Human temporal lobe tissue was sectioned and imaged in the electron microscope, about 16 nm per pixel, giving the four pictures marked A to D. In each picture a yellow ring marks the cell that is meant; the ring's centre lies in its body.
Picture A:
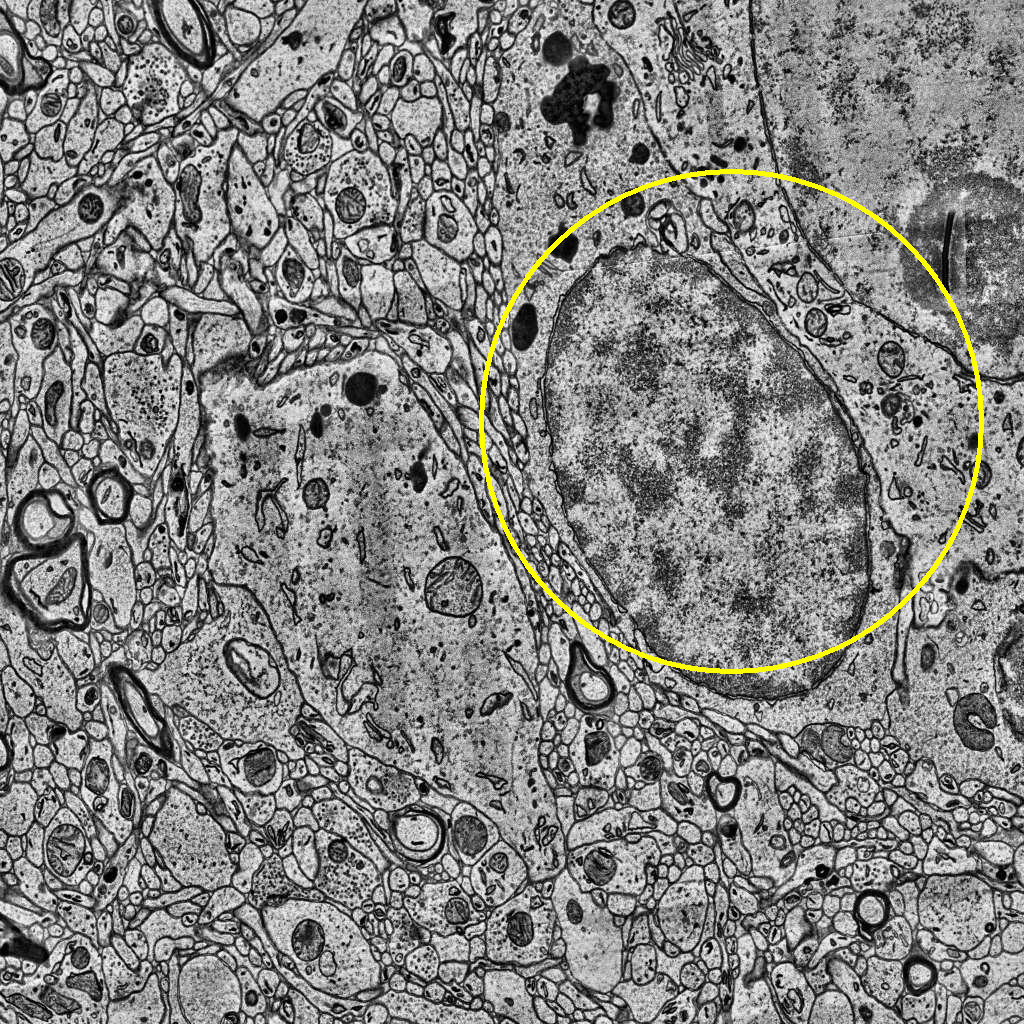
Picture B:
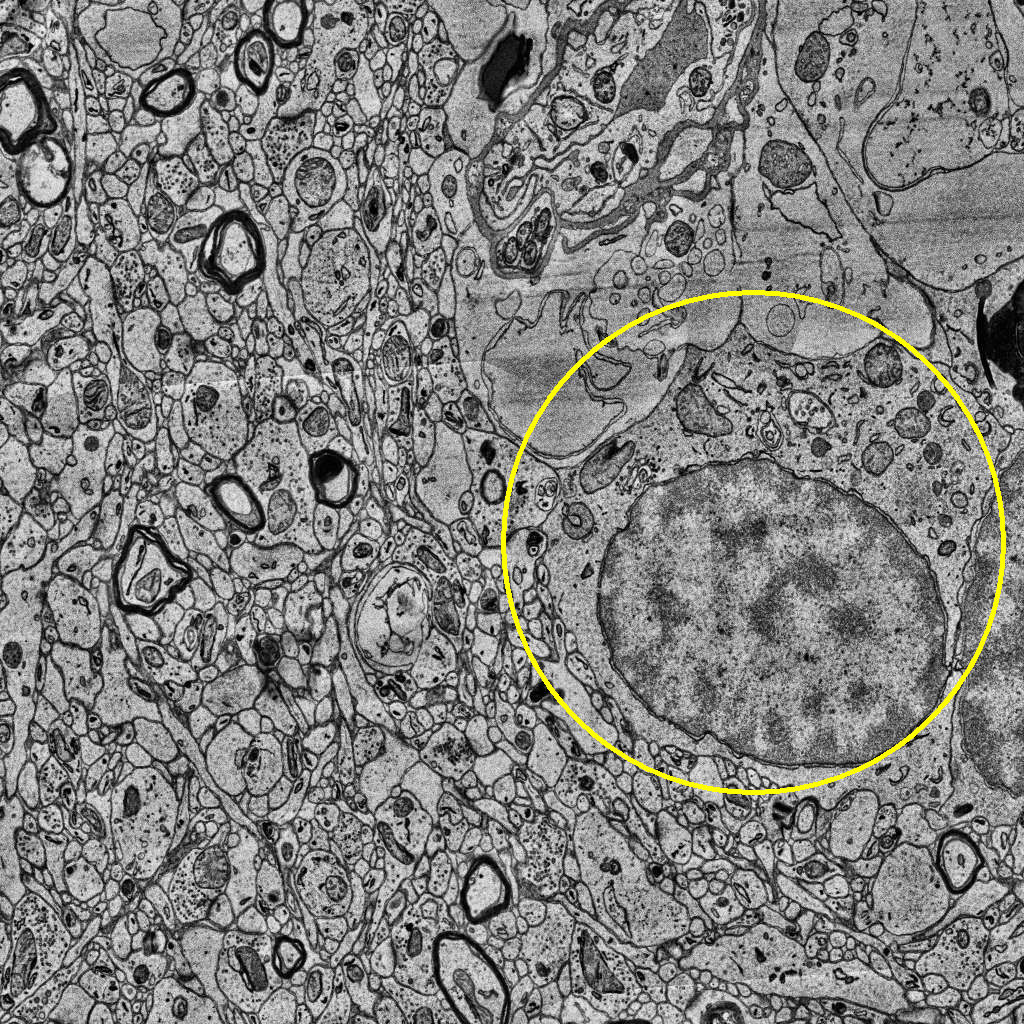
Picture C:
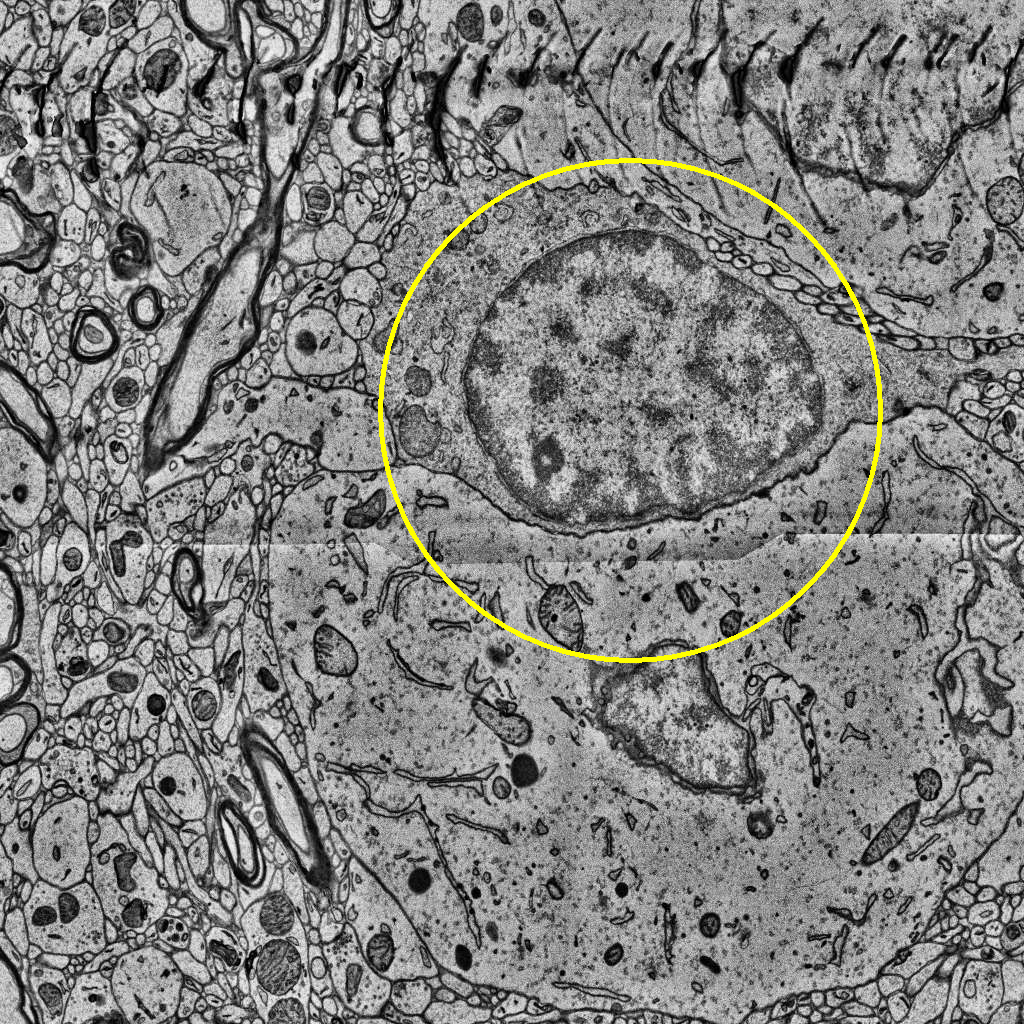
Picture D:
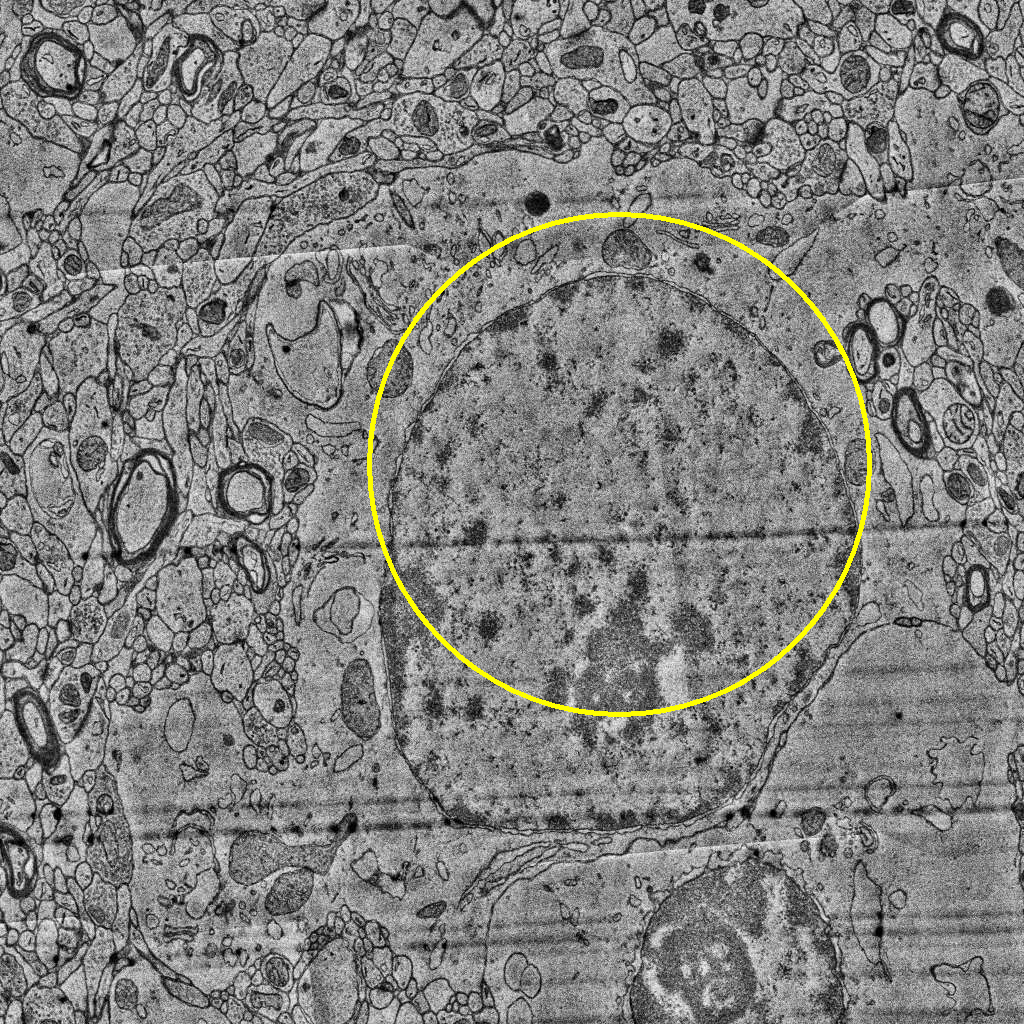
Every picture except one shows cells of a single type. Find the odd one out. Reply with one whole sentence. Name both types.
All pictures except D show oligodendrocytes; picture D shows an astrocyte.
